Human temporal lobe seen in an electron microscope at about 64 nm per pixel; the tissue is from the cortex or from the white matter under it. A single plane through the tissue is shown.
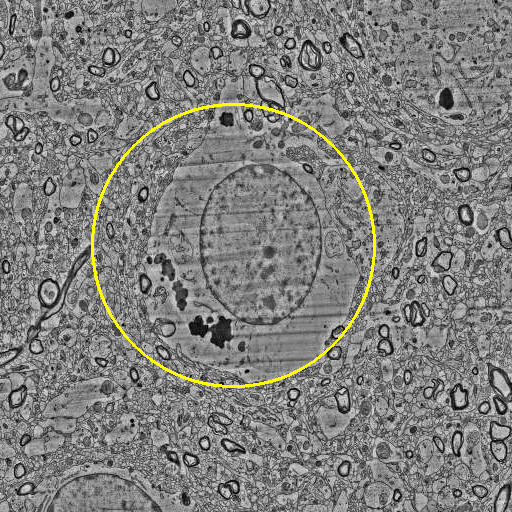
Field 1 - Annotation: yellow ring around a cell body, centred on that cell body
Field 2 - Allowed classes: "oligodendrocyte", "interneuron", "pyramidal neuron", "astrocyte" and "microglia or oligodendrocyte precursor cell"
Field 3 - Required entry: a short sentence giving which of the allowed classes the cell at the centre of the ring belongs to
The centred cell is an astrocyte.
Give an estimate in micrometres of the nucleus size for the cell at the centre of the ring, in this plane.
The nucleus is approximately 10 micrometers long by 8 micrometers wide in this plane.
